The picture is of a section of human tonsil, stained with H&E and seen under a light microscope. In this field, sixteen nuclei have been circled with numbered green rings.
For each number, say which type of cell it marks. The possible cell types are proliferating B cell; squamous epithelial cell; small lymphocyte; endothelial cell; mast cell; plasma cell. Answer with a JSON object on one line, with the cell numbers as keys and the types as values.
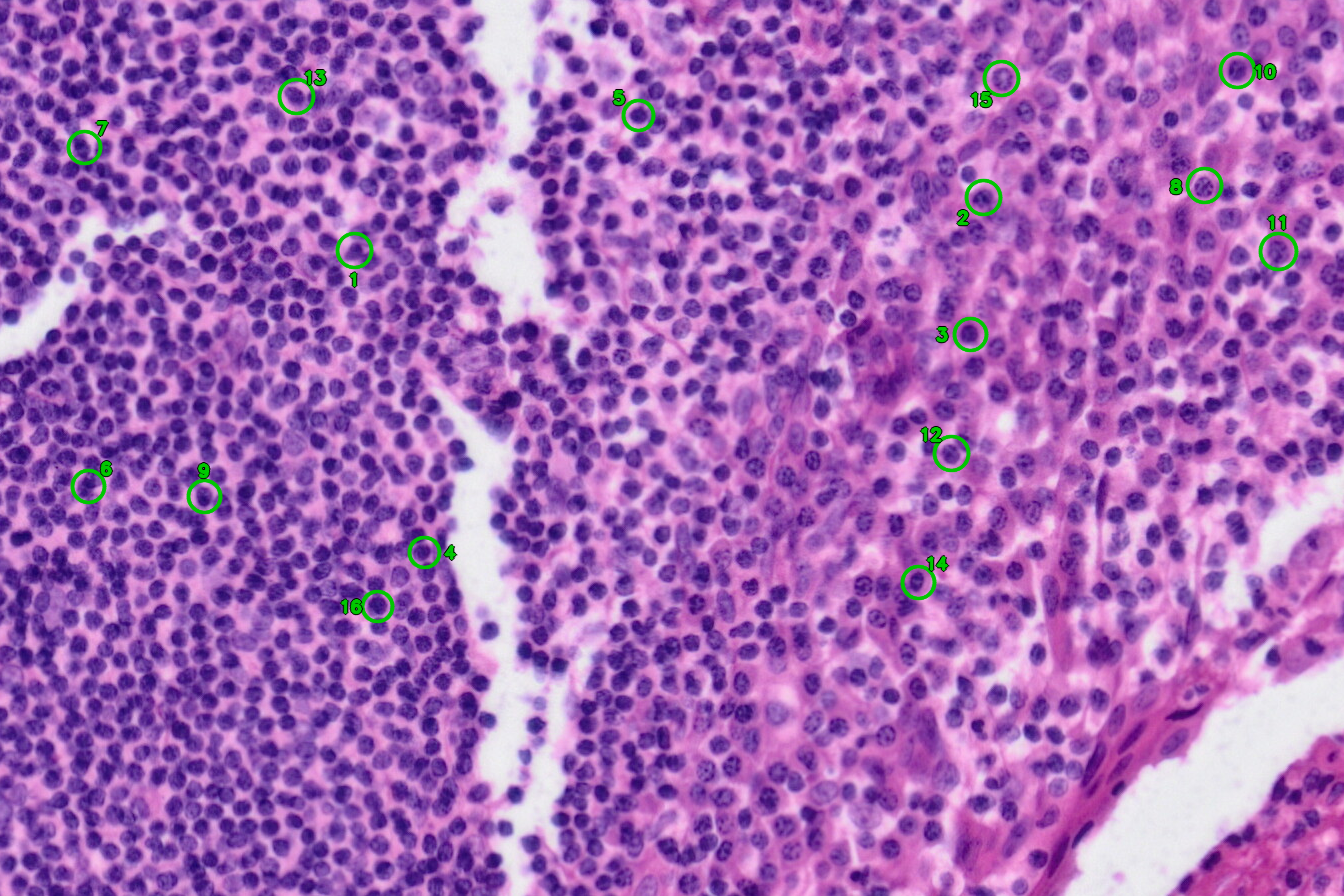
{"1": "small lymphocyte", "2": "plasma cell", "3": "plasma cell", "4": "small lymphocyte", "5": "small lymphocyte", "6": "small lymphocyte", "7": "small lymphocyte", "8": "plasma cell", "9": "small lymphocyte", "10": "plasma cell", "11": "plasma cell", "12": "plasma cell", "13": "small lymphocyte", "14": "plasma cell", "15": "plasma cell", "16": "small lymphocyte"}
